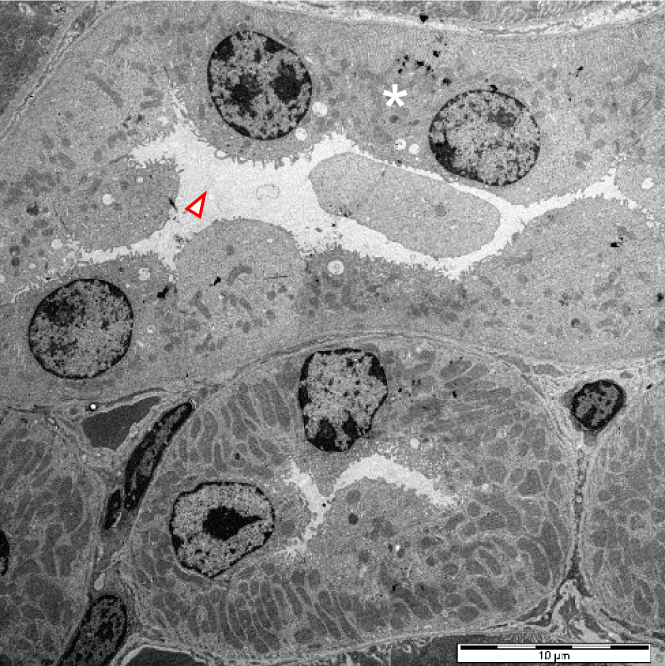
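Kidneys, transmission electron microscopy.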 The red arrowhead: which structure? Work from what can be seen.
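The arrowhead lies in a pale branching space between epithelial cells. The cell surfaces facing the space bear short projections. So: tubular lumen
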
